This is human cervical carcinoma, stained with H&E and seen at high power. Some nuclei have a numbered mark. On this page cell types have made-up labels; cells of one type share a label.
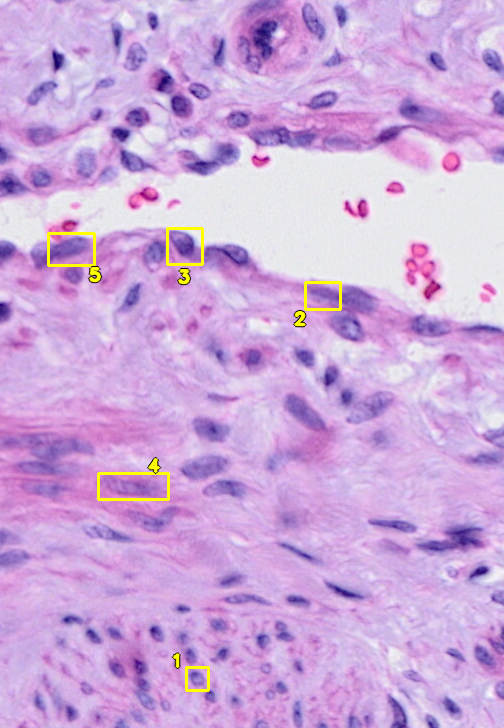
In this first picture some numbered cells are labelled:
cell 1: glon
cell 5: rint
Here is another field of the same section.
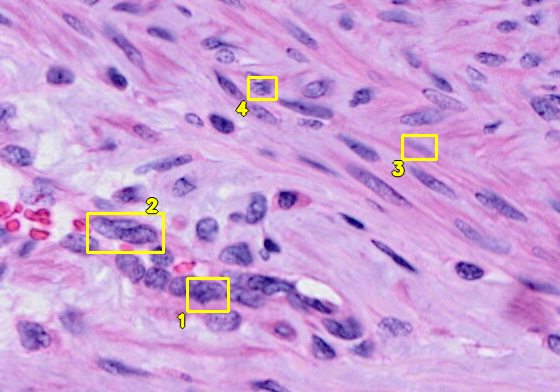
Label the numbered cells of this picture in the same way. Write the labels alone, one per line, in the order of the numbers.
rint
rint
glon
glon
